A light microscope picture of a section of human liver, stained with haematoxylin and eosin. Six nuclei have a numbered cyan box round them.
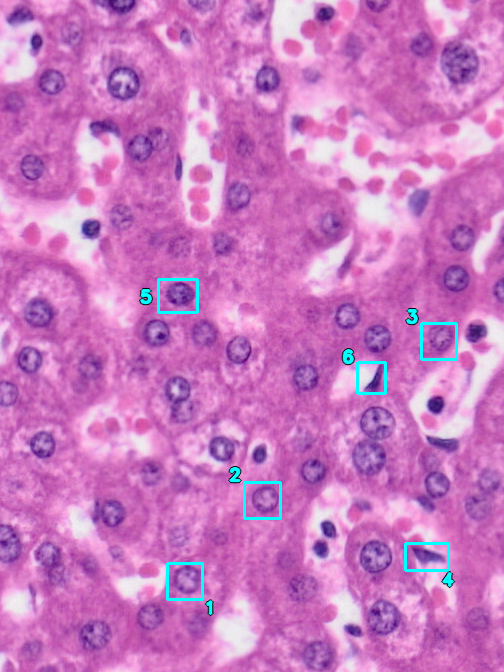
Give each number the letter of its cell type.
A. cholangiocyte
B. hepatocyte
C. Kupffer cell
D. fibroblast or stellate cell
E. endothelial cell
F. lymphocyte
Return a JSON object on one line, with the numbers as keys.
{"1": "B", "2": "B", "3": "B", "4": "E", "5": "B", "6": "E"}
